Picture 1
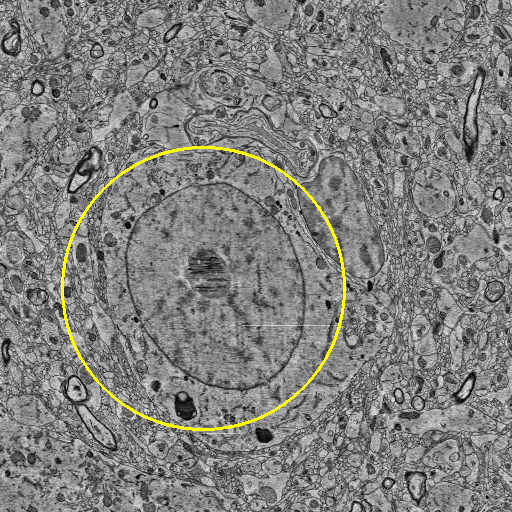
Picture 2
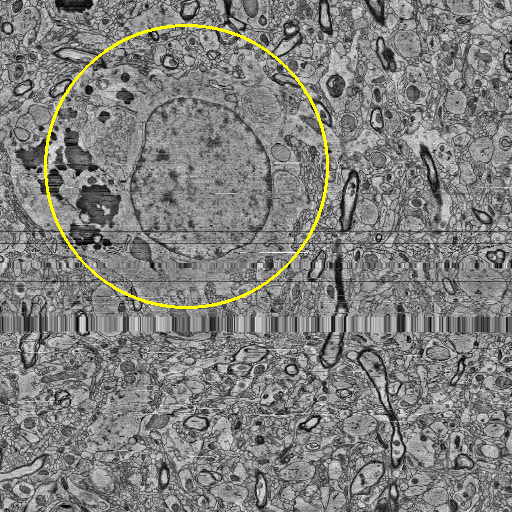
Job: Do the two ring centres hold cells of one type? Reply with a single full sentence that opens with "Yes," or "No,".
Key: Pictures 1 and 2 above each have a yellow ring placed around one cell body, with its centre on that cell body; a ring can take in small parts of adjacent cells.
No, the cells at the two ring centres are of two separate types.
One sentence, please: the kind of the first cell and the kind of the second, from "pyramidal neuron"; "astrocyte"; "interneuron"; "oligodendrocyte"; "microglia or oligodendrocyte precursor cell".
The ring in the first picture surrounds a pyramidal neuron, and the ring in the second surrounds an astrocyte.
